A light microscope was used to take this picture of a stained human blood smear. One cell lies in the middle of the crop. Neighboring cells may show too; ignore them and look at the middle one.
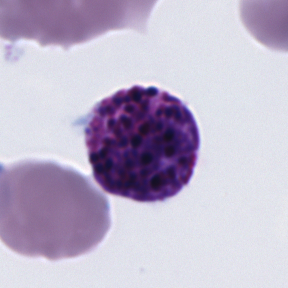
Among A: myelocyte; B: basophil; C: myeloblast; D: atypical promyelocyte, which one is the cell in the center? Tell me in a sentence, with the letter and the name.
Option B is correct in naming the middle cell a basophil.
